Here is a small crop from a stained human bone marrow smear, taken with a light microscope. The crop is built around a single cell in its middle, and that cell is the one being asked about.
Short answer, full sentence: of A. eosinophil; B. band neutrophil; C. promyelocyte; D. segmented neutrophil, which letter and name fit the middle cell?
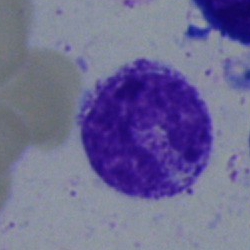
Of the options given, B is correct, the central cell being a band neutrophil.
